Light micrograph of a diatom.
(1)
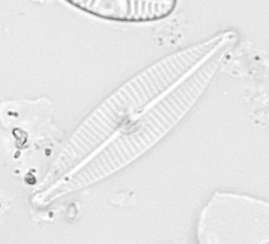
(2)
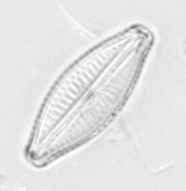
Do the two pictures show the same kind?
Yes, both are Navicula.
